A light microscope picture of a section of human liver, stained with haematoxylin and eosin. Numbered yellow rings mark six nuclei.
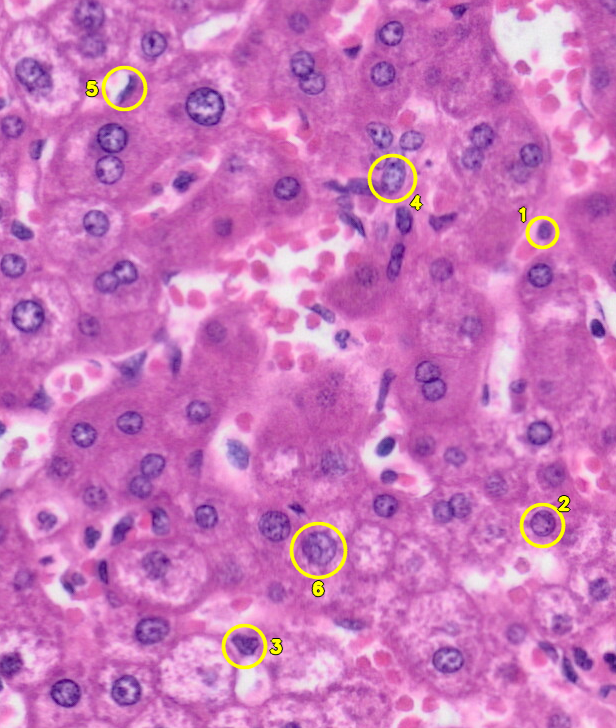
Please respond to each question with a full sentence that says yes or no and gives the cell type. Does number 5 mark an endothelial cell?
Yes, the cell distinguished by number 5 is an endothelial cell.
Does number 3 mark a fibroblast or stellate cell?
Yes, number 3 is assigned to a cell that is a fibroblast or stellate cell.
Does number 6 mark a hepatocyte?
Yes, the cell tagged with number 6 is a hepatocyte.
